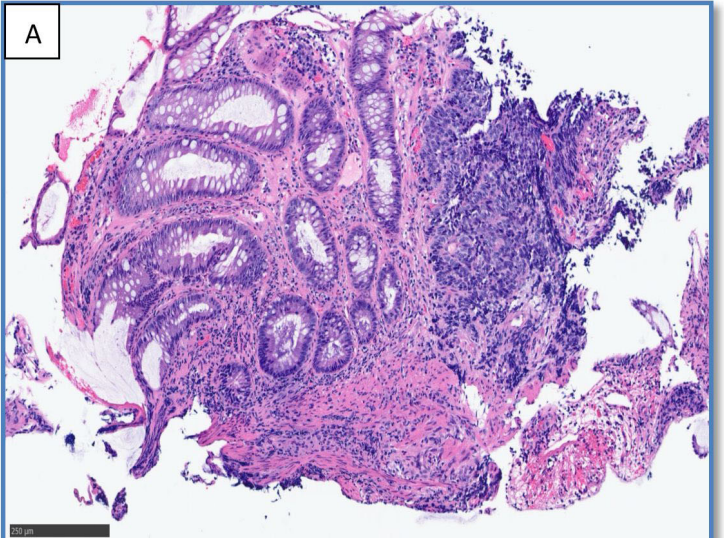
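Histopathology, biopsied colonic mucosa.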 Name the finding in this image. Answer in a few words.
solid architectural pattern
